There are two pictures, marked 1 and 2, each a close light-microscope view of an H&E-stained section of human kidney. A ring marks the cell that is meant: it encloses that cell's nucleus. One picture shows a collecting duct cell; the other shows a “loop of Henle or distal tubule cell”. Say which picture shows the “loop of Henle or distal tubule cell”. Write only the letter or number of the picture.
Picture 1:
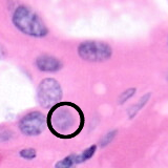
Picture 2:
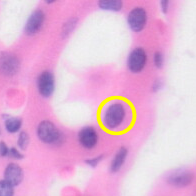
2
